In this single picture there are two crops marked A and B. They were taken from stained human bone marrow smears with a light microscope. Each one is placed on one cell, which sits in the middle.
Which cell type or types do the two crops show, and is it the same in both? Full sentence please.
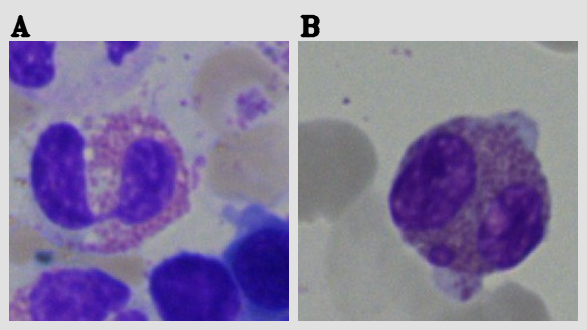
Yes, eosinophils are centred in both crops.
